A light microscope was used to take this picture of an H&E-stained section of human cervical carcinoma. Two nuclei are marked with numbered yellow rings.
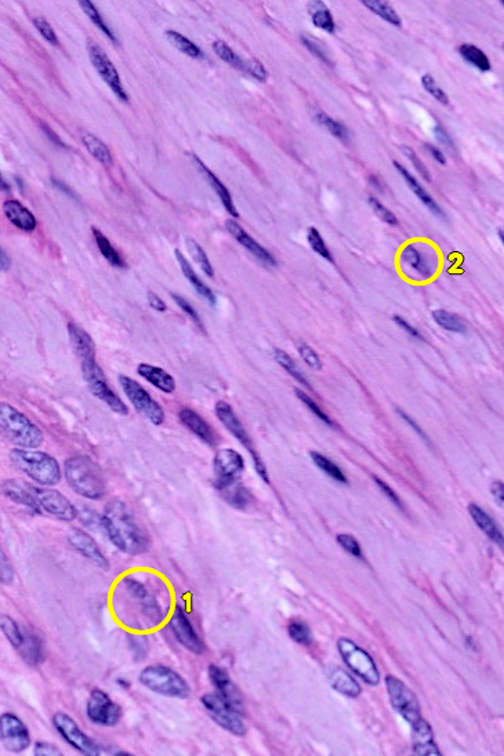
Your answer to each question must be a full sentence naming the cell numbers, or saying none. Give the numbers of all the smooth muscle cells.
Only the cell at mark 2 is a smooth muscle cell, and no other marked cell is.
